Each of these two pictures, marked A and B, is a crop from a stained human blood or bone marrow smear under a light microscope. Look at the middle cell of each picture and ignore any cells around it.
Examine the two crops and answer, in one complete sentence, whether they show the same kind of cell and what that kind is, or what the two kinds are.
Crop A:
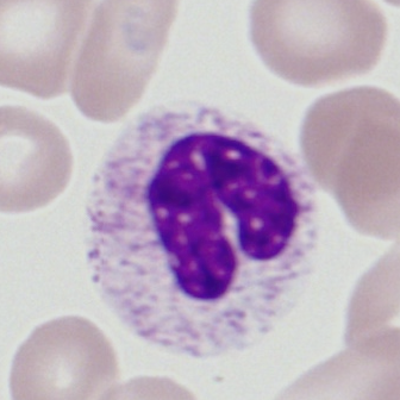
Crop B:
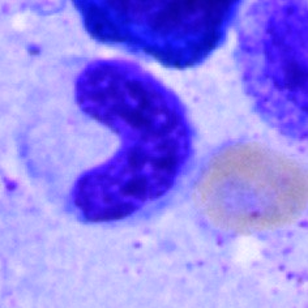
Yes, both crops show band neutrophils at their middles.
